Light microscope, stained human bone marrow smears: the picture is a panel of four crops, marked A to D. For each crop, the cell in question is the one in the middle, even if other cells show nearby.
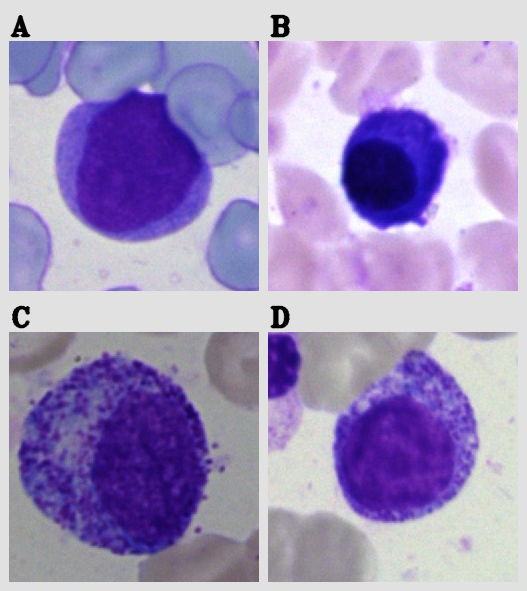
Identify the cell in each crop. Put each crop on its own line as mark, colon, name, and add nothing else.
A: blast
B: plasma cell
C: promyelocyte
D: myelocyte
